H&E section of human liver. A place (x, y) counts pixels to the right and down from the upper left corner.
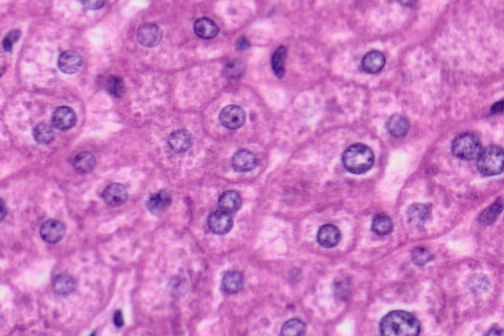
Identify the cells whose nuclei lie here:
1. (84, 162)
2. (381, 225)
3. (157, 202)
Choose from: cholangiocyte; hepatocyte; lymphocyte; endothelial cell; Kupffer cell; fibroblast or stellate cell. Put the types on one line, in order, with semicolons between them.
hepatocyte; hepatocyte; endothelial cell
